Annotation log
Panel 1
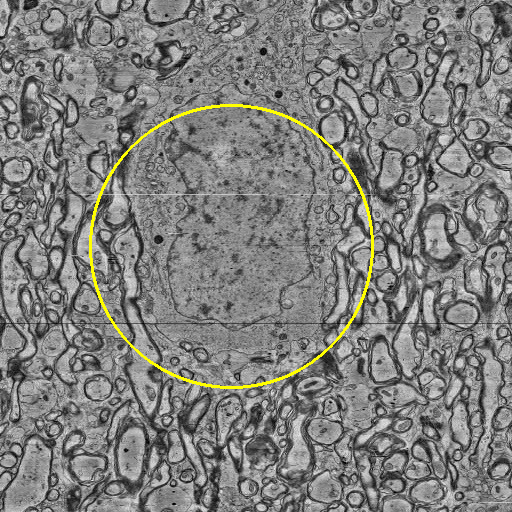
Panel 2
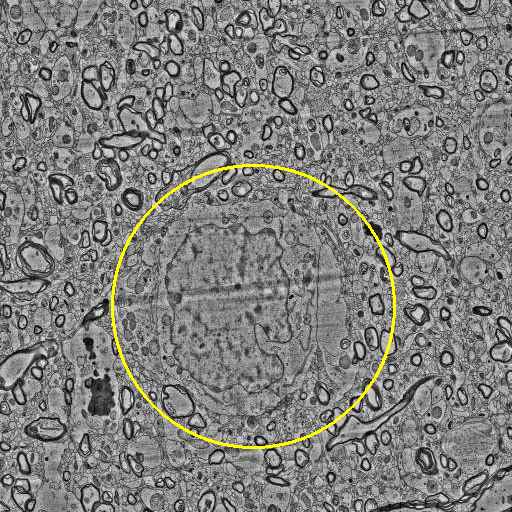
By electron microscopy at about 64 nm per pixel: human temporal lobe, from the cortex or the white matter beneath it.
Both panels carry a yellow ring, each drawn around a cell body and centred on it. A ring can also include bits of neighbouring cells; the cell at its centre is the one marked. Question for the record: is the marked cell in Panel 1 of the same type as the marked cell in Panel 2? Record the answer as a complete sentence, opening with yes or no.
No, the marked cells in Panel 1 and Panel 2 are of two types.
